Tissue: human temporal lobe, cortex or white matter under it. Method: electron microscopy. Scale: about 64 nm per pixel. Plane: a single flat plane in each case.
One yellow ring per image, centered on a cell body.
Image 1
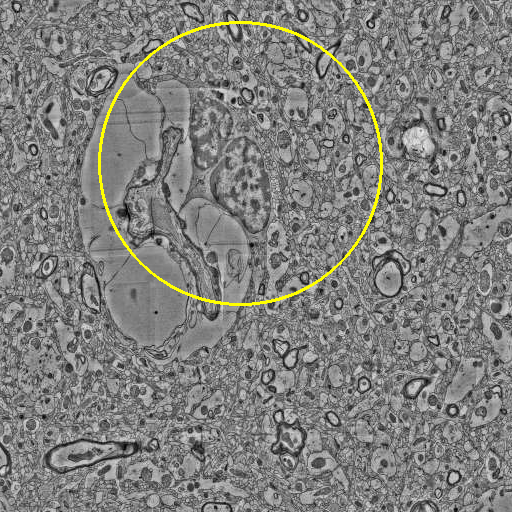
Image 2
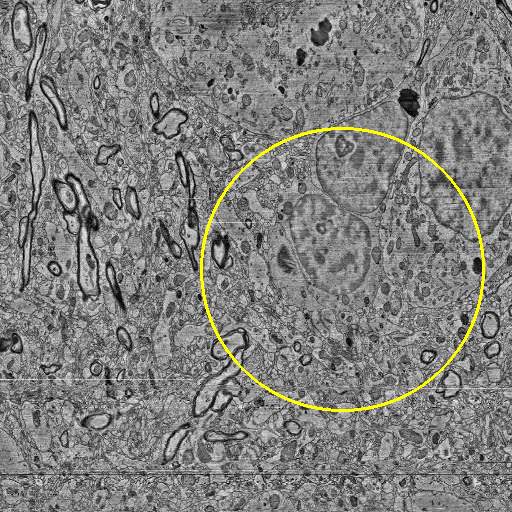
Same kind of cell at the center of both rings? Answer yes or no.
yes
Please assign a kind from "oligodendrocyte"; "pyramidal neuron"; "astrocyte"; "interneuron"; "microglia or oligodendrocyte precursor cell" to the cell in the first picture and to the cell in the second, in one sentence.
In the first picture and in the second, the ring is centred on an oligodendrocyte.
